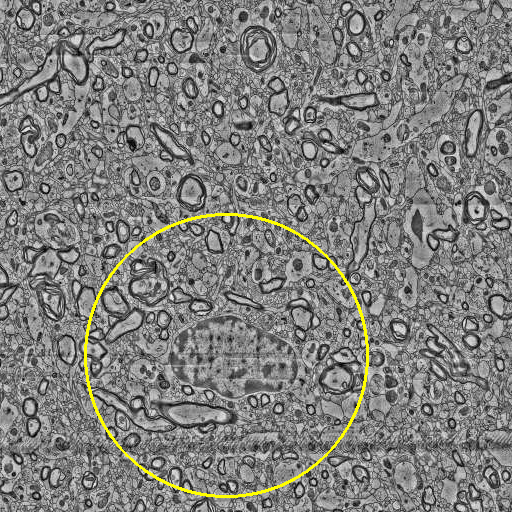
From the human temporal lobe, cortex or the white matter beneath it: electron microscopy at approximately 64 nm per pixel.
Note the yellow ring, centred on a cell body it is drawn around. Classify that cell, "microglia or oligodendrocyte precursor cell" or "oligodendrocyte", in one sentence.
The cell the ring is centred on is a microglial cell or oligodendrocyte precursor cell.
